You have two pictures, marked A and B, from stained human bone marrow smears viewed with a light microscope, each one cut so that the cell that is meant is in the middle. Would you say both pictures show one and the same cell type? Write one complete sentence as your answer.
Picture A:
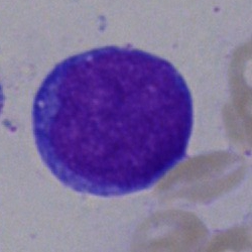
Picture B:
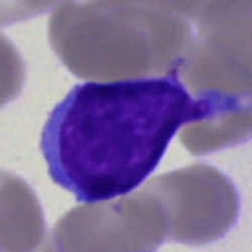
No, the types are not the same, since picture A shows a blast and picture B a lymphocyte.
